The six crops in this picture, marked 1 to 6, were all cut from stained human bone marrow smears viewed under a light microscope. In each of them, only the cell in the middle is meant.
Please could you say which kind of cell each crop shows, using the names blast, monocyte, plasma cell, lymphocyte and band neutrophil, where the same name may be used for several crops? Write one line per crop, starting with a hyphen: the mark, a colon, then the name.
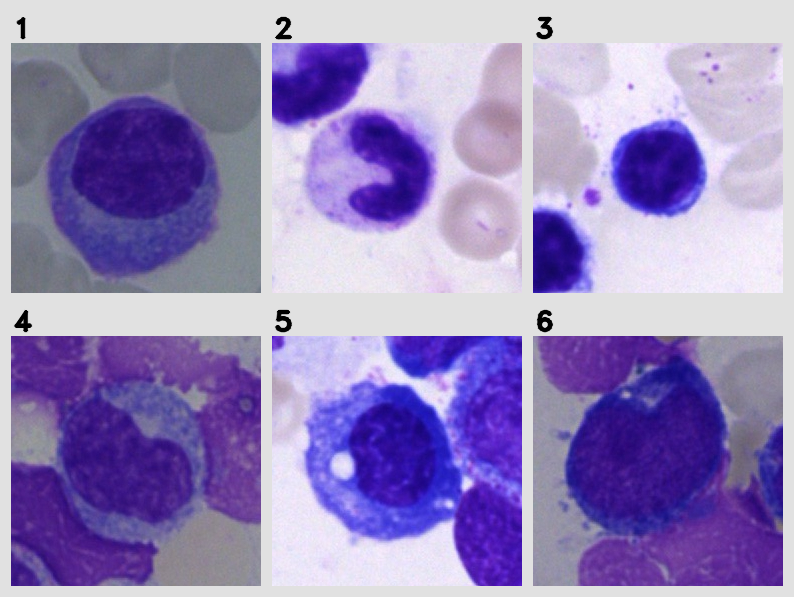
- 1: plasma cell
- 2: band neutrophil
- 3: lymphocyte
- 4: monocyte
- 5: plasma cell
- 6: blast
